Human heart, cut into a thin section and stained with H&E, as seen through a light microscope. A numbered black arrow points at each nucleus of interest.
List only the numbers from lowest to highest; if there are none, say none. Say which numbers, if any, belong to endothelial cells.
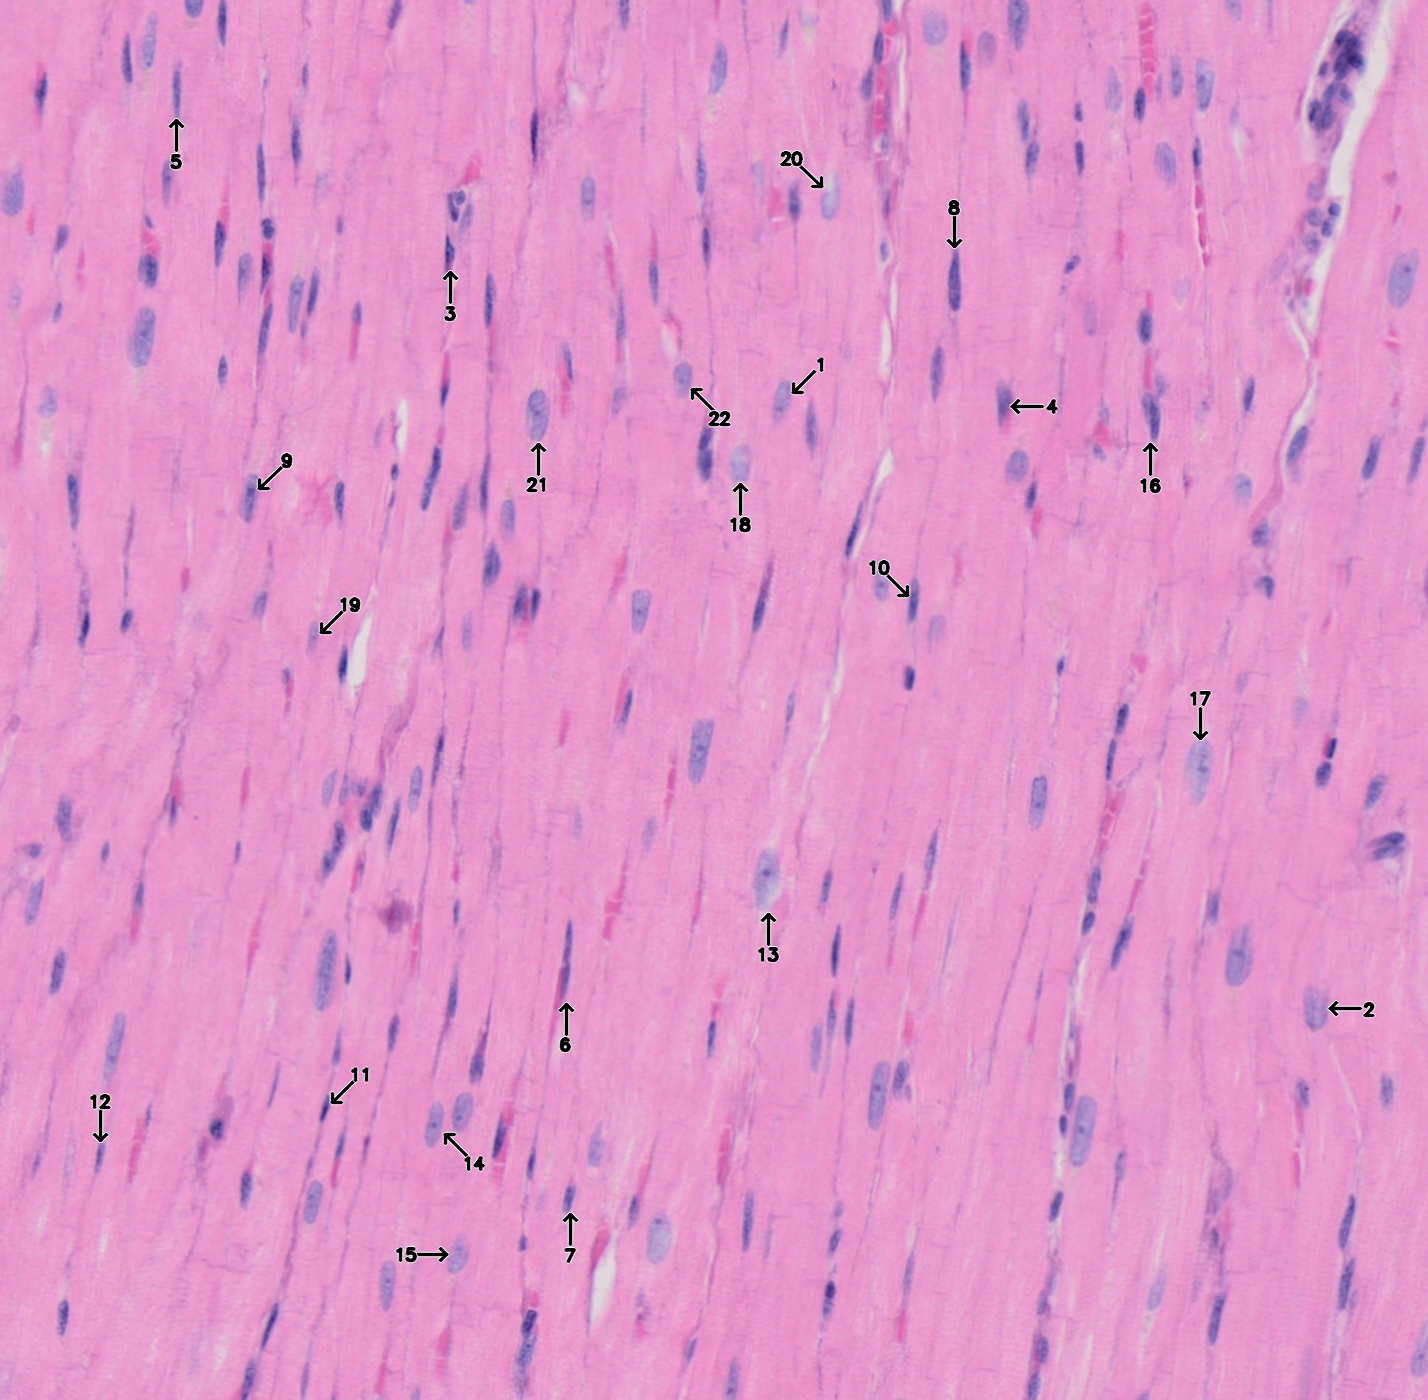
3, 4, 6, 7, 8, 10, 11, 12, 16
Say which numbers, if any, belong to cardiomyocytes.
1, 2, 9, 13, 14, 15, 17, 18, 19, 20, 21, 22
